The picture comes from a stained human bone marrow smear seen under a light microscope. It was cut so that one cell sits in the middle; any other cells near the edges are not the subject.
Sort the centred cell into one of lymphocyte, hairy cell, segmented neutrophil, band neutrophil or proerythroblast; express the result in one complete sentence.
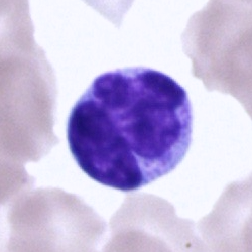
At the middle of the frame sits a lymphocyte.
